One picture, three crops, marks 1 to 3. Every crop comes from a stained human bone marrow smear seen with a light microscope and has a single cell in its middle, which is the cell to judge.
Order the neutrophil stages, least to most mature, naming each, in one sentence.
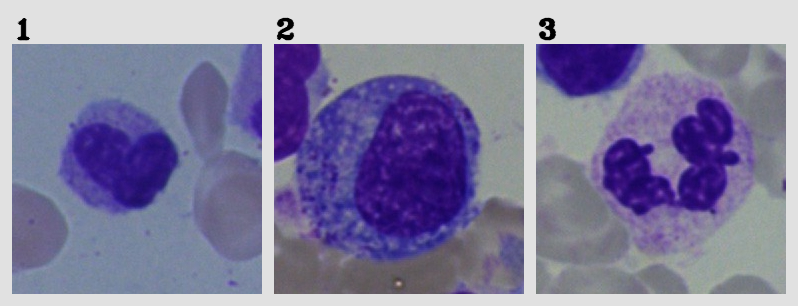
Least to most mature, the order stands as crop 2 (a myelocyte), crop 1 (a band neutrophil) and crop 3 (a segmented neutrophil).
